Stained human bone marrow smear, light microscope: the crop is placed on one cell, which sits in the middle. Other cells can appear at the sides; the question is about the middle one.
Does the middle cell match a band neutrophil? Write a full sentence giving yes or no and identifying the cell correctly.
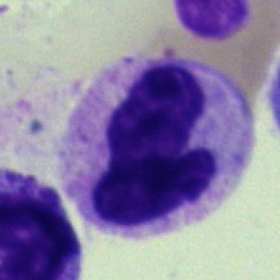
Yes, the cell at the centre of the field is a band neutrophil.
